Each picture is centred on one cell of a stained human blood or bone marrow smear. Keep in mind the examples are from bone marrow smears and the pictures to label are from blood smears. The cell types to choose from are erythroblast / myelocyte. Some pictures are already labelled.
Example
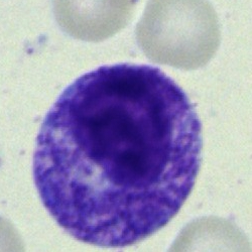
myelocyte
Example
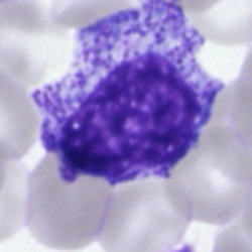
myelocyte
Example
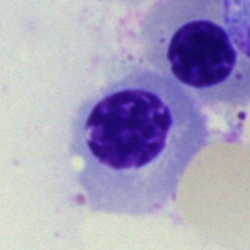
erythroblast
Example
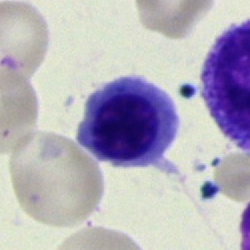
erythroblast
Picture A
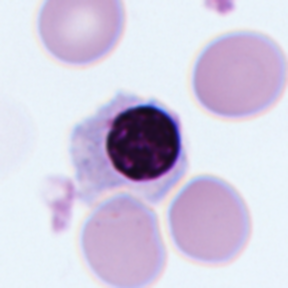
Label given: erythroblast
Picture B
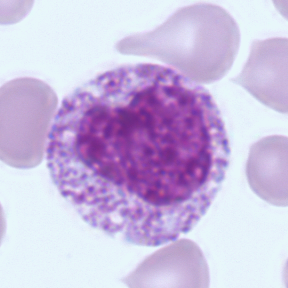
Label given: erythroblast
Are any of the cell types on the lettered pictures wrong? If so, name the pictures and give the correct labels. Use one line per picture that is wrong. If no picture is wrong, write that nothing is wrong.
Wrong: B (erythroblast); correct: myelocyte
